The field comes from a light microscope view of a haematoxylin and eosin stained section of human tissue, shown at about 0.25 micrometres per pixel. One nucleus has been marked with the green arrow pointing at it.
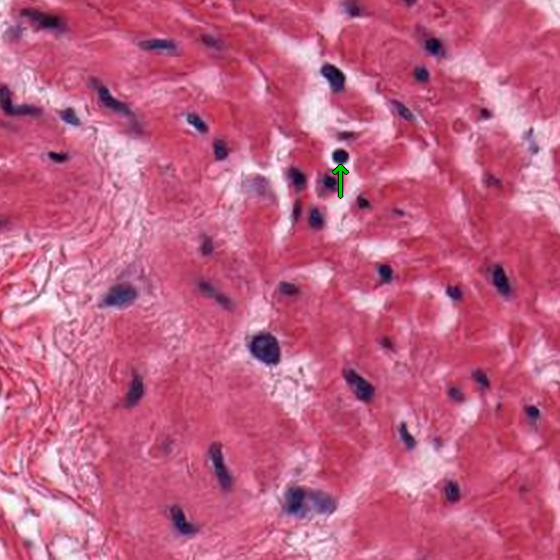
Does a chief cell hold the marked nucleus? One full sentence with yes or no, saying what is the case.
No, the marked nucleus, which belongs to a supporting cell, is not part of a chief cell.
